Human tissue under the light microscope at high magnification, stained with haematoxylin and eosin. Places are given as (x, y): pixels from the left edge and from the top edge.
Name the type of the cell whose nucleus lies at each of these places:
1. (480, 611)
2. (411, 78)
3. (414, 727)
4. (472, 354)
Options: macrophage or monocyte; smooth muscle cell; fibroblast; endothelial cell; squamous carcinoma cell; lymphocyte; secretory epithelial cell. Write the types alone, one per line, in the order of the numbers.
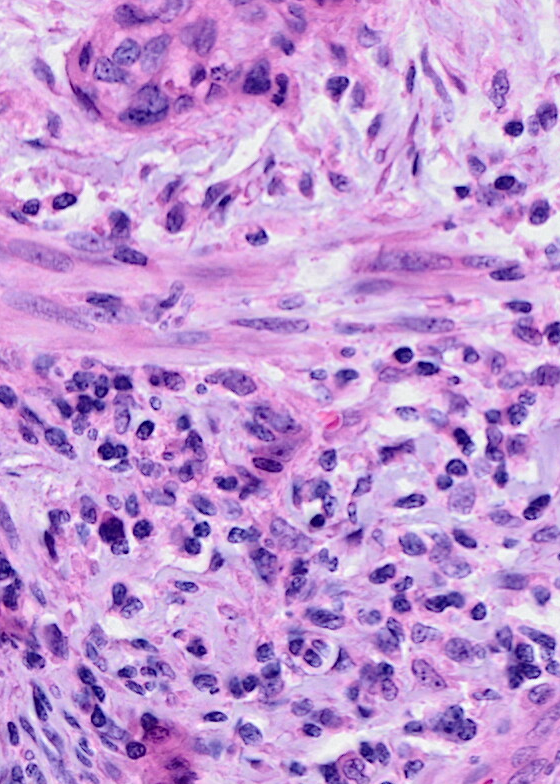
lymphocyte
fibroblast
lymphocyte
lymphocyte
